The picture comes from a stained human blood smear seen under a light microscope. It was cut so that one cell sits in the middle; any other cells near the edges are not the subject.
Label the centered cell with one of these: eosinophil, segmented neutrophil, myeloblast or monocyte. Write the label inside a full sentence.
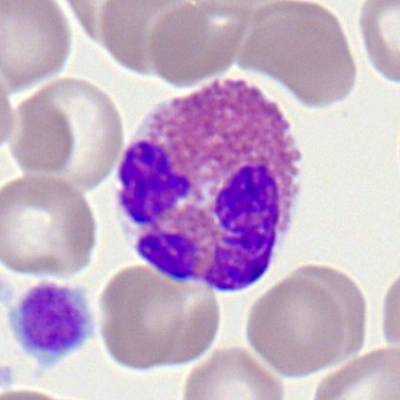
The center cell of this crop is an eosinophil.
